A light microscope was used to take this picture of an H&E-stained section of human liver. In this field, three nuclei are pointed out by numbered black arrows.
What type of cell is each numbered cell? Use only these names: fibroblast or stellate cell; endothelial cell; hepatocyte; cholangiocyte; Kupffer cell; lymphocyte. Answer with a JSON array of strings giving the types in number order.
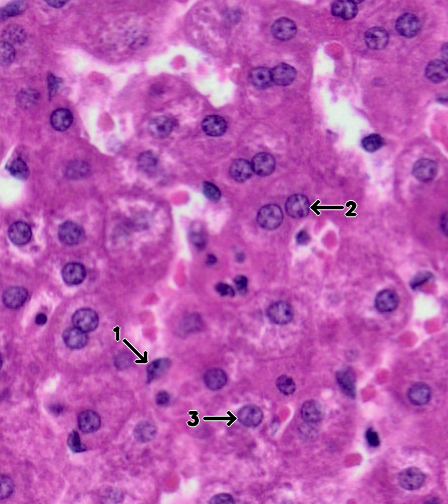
["endothelial cell", "hepatocyte", "hepatocyte"]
